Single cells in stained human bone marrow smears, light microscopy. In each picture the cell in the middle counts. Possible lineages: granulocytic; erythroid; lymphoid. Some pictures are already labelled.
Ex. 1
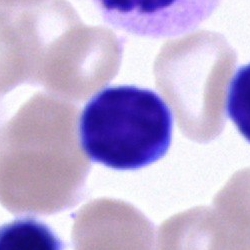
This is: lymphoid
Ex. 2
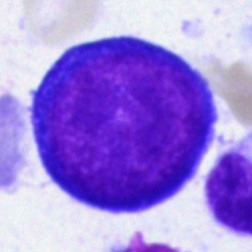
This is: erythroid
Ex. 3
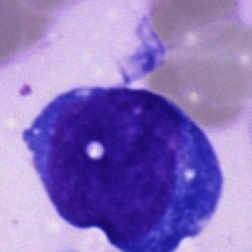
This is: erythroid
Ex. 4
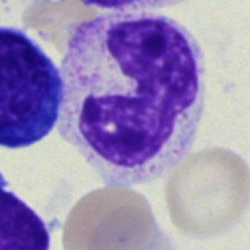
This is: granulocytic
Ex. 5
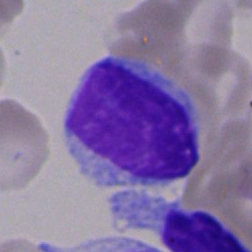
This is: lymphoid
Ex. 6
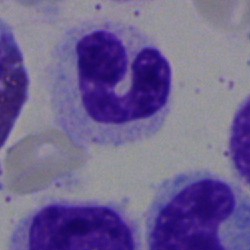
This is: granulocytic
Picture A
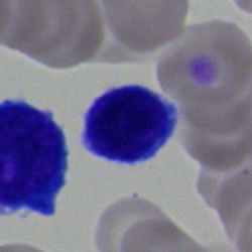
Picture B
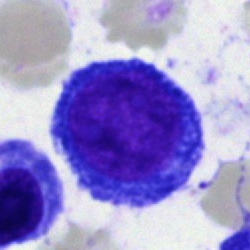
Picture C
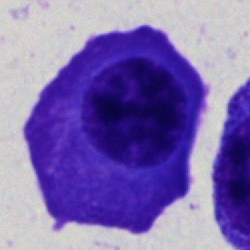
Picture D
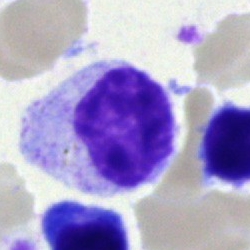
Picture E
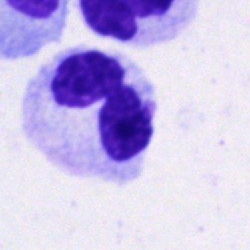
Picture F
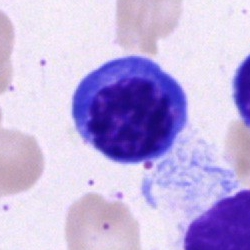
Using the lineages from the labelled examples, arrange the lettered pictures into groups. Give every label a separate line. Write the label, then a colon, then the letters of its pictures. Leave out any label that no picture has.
granulocytic: D, E
erythroid: B, F
lymphoid: A, C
